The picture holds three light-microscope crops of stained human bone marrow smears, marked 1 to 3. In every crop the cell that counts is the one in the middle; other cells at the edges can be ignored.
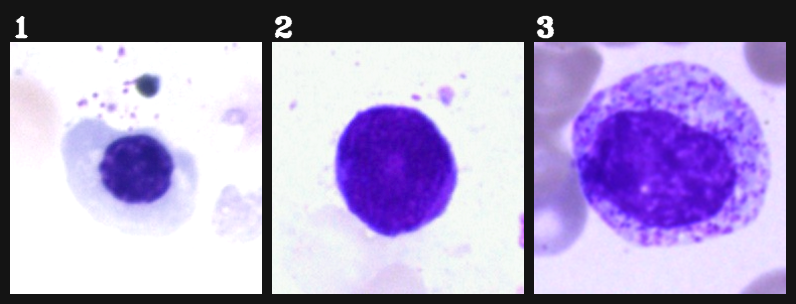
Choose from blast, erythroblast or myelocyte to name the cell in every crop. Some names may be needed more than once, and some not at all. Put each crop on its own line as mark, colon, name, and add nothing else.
1: erythroblast
2: blast
3: myelocyte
